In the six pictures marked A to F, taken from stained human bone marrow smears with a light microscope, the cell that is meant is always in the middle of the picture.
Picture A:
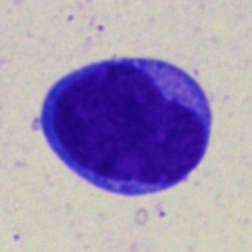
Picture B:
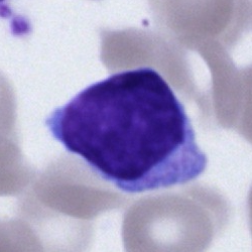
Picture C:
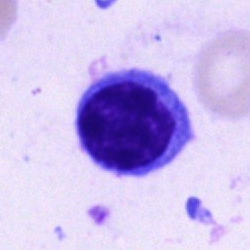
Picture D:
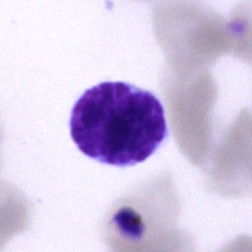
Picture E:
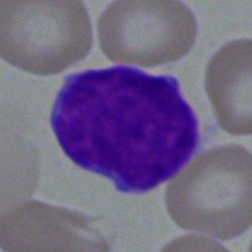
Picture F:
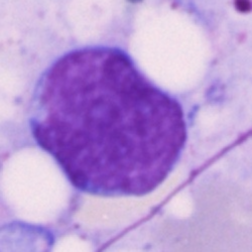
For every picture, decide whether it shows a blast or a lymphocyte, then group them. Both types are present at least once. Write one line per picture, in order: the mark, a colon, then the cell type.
A: blast
B: lymphocyte
C: lymphocyte
D: lymphocyte
E: blast
F: blast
